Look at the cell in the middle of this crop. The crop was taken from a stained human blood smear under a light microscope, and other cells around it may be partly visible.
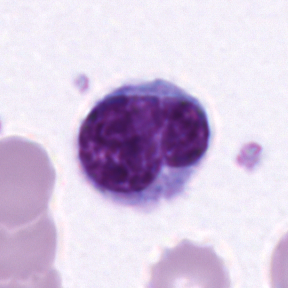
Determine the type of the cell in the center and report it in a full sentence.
The cell that lies at the centre of the crop is a plasma cell.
